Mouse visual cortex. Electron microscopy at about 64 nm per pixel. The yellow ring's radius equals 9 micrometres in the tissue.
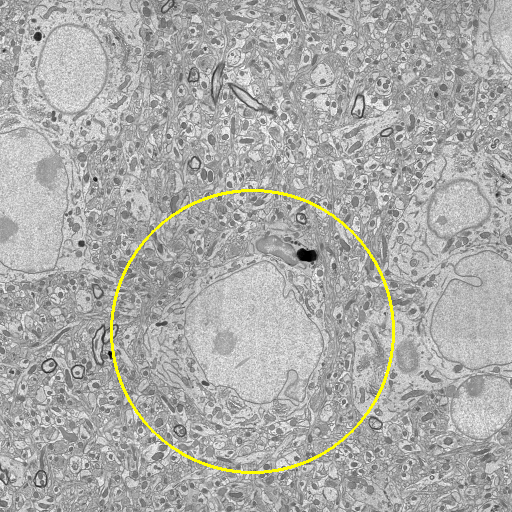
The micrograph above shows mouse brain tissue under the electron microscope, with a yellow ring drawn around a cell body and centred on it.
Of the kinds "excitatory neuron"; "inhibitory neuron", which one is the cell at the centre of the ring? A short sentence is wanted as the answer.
The one at the centre of the ring is an inhibitory neuron.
